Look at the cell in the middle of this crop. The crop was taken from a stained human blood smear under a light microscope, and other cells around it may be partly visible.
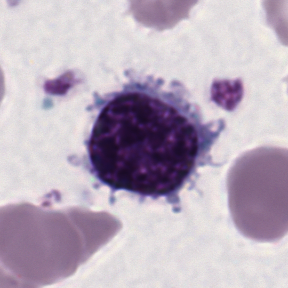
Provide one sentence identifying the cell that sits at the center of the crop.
Classification of the middle cell gives a plasma cell.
